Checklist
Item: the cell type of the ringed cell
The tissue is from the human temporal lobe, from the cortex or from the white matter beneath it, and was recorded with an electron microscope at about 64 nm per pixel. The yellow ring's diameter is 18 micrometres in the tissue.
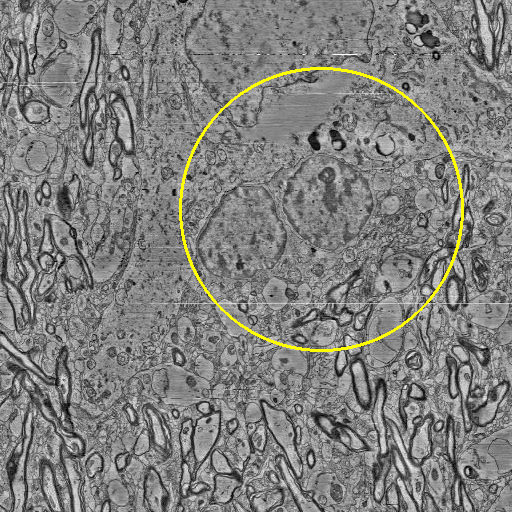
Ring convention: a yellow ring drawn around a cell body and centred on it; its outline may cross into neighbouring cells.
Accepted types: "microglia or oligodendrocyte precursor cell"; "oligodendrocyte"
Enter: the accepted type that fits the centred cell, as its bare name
oligodendrocyte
